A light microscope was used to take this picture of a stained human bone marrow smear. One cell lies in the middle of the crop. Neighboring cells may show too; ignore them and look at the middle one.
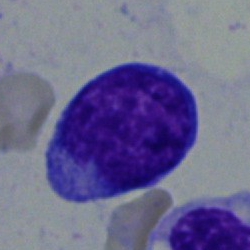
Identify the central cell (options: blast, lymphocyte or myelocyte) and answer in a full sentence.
The cell around which this crop is centred is a blast.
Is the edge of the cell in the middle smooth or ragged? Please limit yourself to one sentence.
Smooth edges only, with no spikes, blebs, or other projections.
